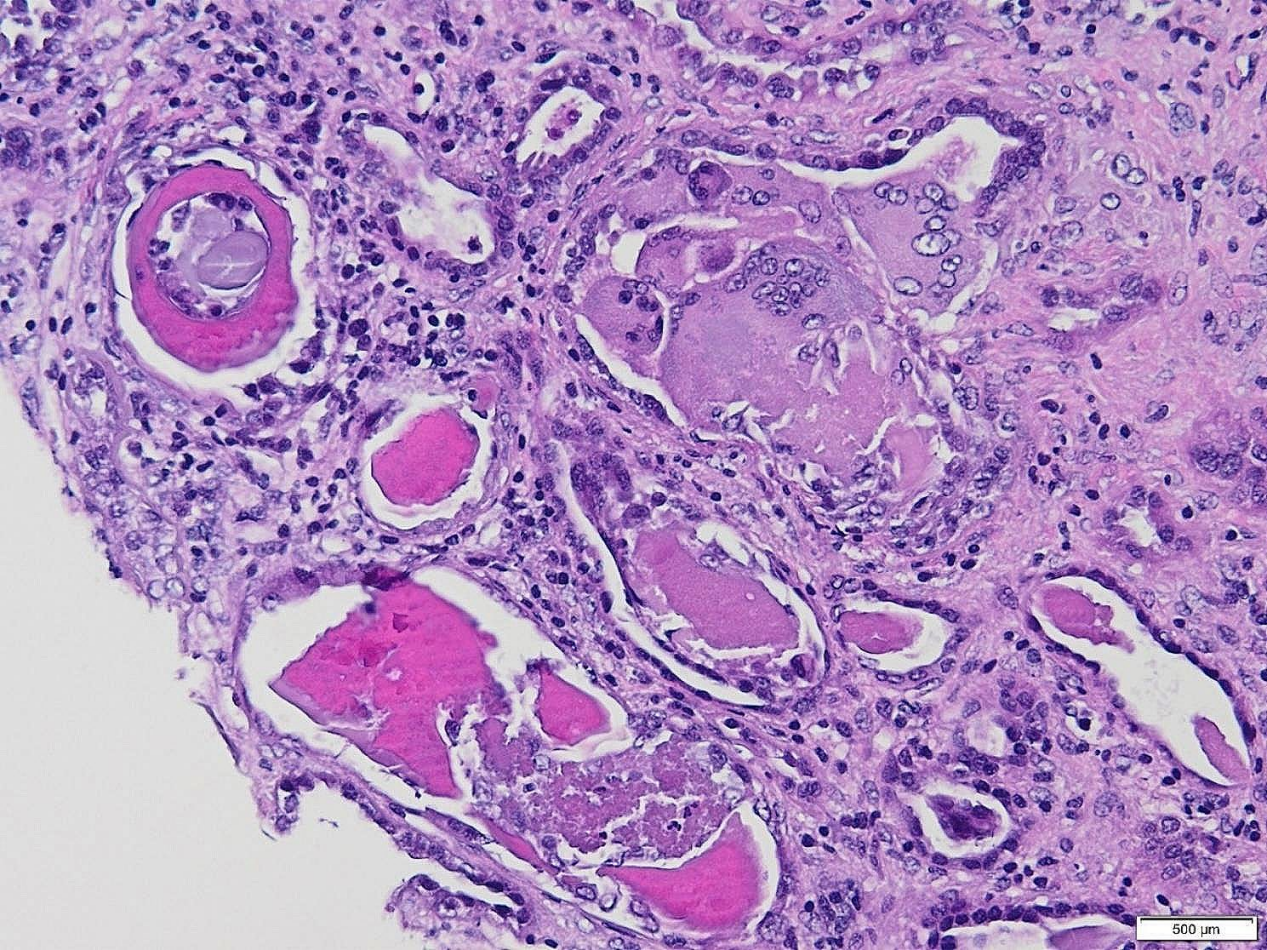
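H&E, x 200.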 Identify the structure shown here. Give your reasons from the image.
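Dense, bright pink homogeneous masses fill the lumens of several tubules. Some masses show sharp fracture lines and angular edges. A clear retraction space separates the masses from the surrounding epithelium.
Hence: intratubular eosinophilic rigid casts.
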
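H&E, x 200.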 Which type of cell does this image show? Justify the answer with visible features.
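Multinucleated giant cells. In the upper centre, large cells with abundant pink cytoplasm contain clusters of many nuclei. These large cells wrap around paler pink luminal material.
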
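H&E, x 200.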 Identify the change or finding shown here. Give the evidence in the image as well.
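Several tubular profiles have widened lumens filled with pink material. The lining epithelium of these tubules is thinned and stretched around the contents.
Answer: distended tubules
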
